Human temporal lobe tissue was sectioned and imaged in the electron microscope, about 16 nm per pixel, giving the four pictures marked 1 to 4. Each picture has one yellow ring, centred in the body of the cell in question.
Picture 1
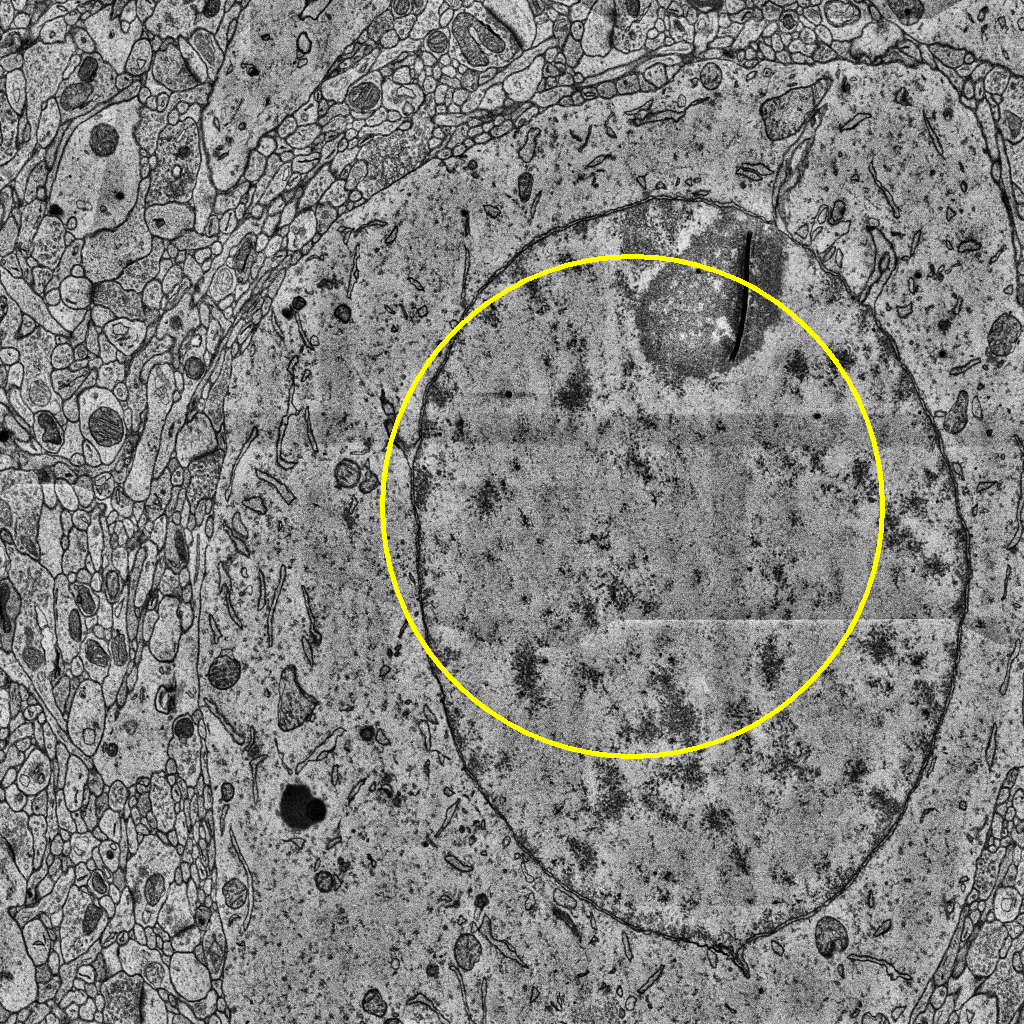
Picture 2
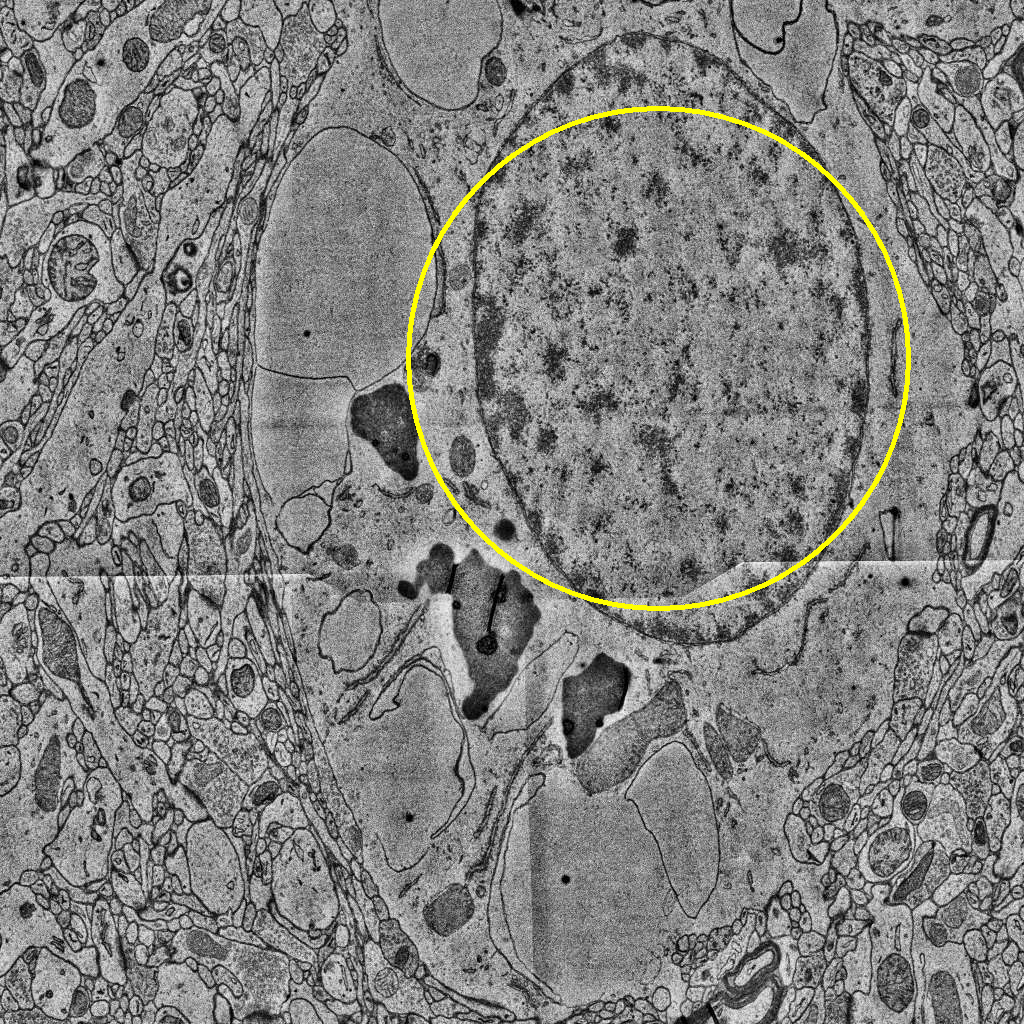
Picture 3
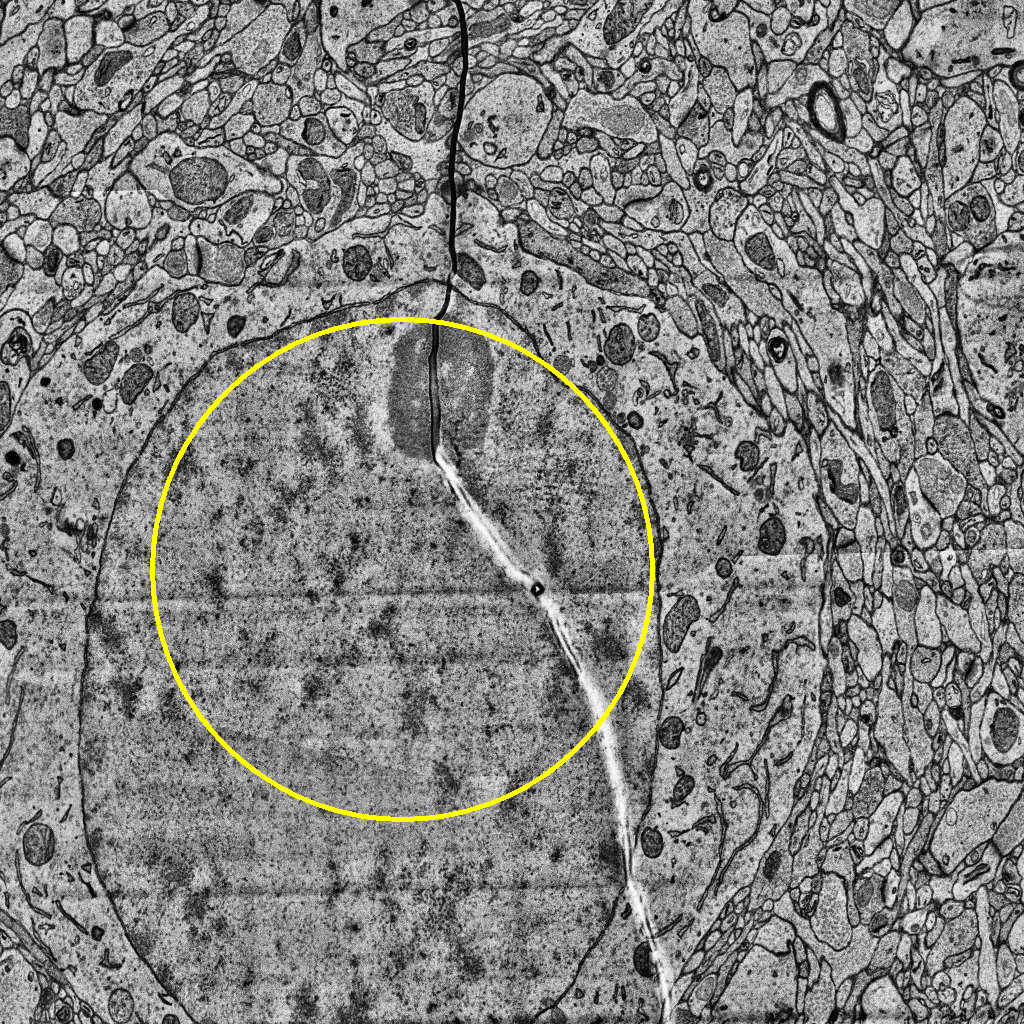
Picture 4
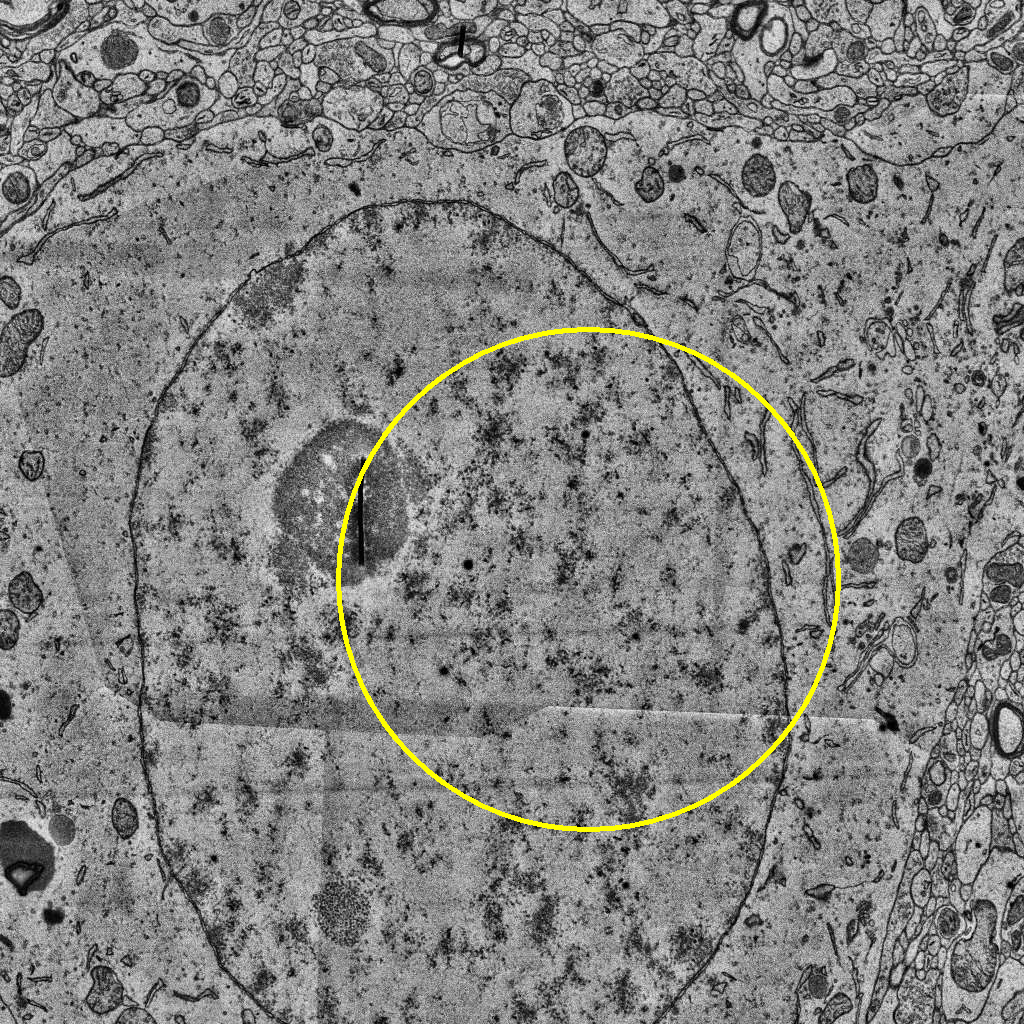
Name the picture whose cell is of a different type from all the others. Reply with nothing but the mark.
2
